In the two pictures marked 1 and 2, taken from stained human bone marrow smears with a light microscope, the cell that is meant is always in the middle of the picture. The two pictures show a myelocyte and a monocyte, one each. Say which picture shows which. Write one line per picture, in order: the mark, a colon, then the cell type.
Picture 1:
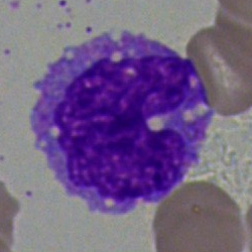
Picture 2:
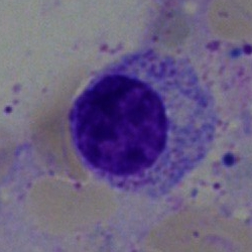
1: monocyte
2: myelocyte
